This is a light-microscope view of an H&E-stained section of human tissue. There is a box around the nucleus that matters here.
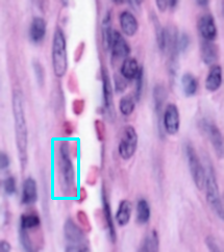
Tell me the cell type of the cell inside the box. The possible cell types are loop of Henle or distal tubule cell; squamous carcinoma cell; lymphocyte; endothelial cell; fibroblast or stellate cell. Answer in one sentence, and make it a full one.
The cell type represented by the cell inside the box is that of an endothelial cell.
